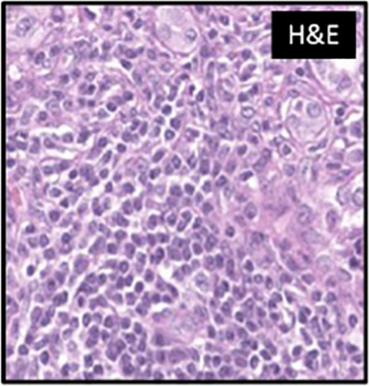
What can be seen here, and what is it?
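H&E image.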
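A cell-dense tissue in which sheets of lymphocytes dominate: small, round cells with dark purple, compact nuclei and very little cytoplasm, packed closely together. Scattered among them, and more often toward the right side, are larger cells with paler, oval nuclei and more pink cytoplasm, lying in a pale pink fibrillar background.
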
